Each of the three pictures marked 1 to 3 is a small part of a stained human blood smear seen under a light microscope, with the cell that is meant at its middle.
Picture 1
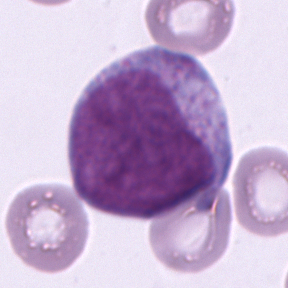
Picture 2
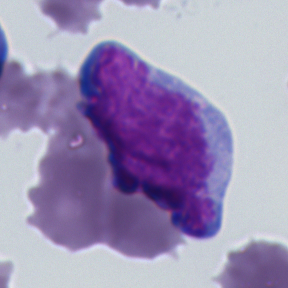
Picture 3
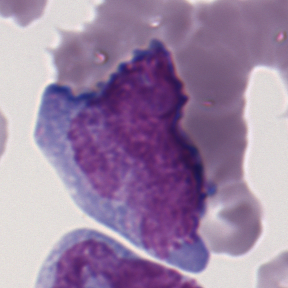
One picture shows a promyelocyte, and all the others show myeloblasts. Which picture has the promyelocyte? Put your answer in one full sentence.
The cell in picture 1 is the promyelocyte.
